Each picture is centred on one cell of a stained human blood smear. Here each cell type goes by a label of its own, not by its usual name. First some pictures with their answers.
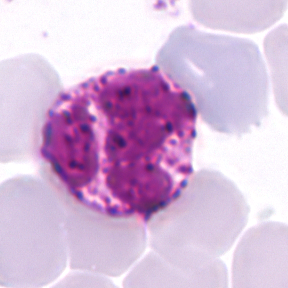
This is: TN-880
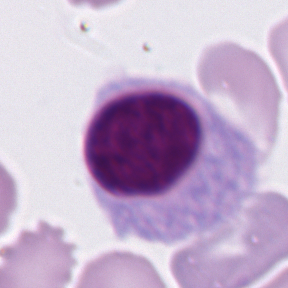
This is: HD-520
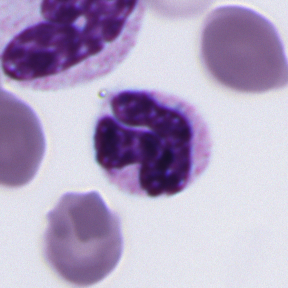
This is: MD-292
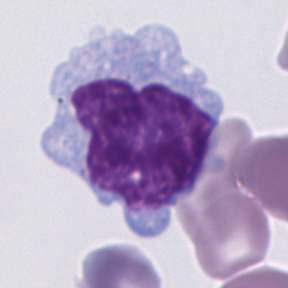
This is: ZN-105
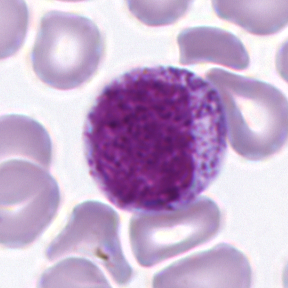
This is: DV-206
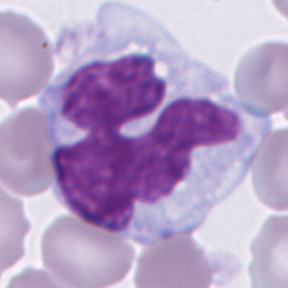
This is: ZN-105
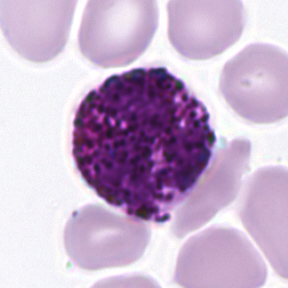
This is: TN-880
